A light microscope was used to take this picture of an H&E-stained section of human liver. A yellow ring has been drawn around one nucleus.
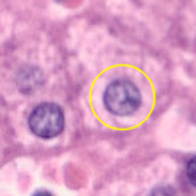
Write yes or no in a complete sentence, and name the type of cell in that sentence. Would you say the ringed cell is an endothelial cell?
No, instead of an endothelial cell, the ringed cell is a hepatocyte.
